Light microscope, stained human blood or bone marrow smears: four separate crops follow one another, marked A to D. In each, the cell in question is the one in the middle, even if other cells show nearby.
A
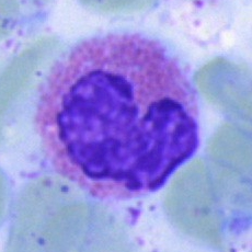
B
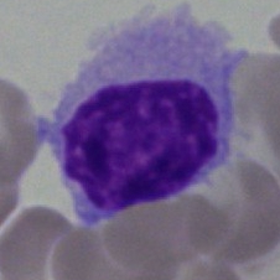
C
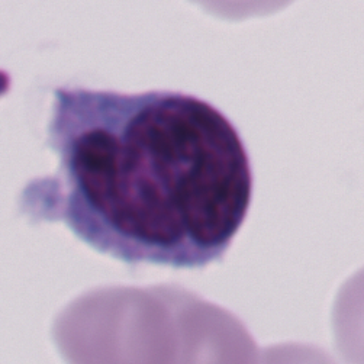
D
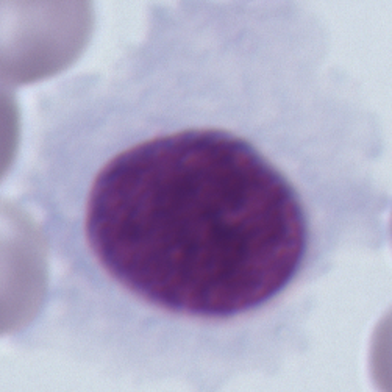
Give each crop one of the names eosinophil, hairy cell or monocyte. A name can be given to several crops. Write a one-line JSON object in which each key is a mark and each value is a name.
{"A": "eosinophil", "B": "hairy cell", "C": "monocyte", "D": "hairy cell"}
